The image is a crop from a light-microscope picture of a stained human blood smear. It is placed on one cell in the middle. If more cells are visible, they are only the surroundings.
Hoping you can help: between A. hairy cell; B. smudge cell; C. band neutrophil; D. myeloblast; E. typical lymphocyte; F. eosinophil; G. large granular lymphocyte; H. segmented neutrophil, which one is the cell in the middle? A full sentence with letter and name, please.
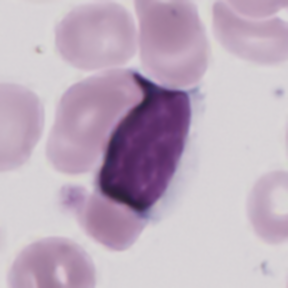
The central cell in this crop is a typical lymphocyte, corresponding to option E, the correct option.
